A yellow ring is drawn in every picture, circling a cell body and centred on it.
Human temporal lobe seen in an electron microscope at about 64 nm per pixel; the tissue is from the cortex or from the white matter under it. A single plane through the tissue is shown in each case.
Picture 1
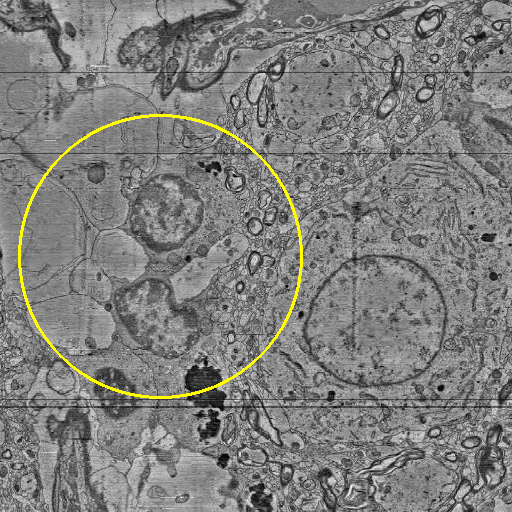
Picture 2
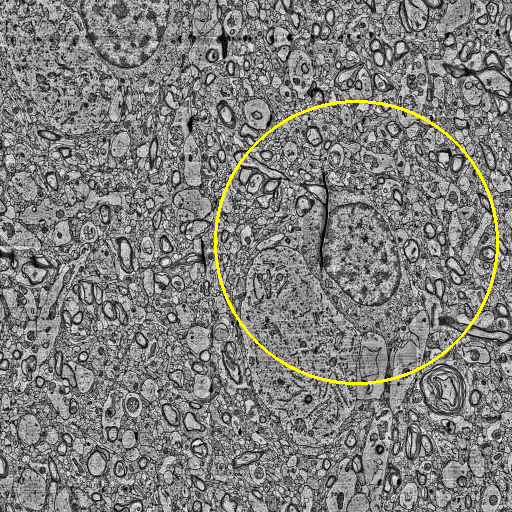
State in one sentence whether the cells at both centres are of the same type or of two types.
The cells at the two ring centres, one per picture, are of the same type.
